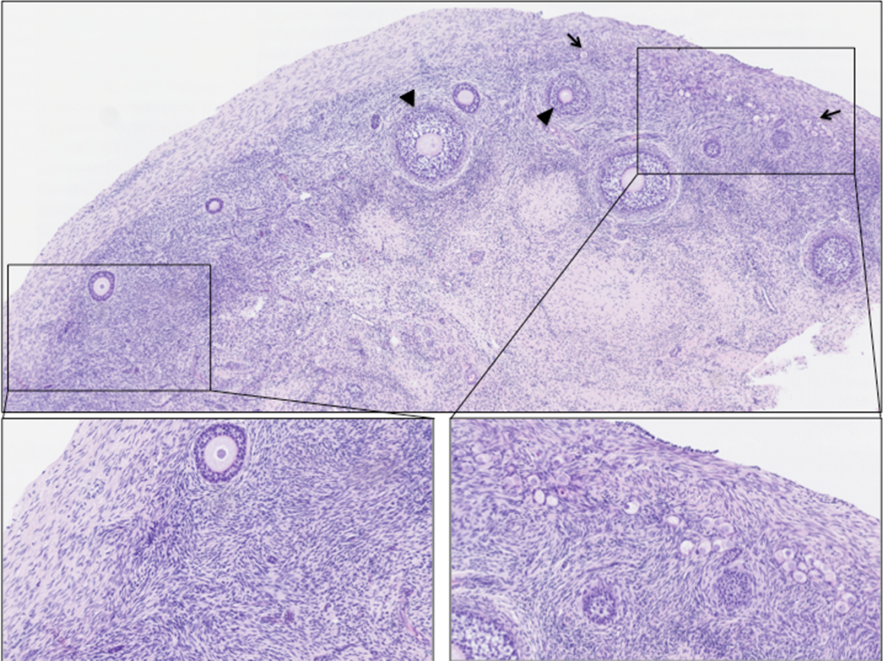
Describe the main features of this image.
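Larger follicles show a round central oocyte ringed by several layers of cuboidal cells and an outer concentric sheath of stroma, while clusters of small follicles, each a pale oocyte with a thin flat cell rim, sit just beneath the surface on the right. The left region holds no such small follicles, only stroma and an occasional larger follicle, so the follicles are unevenly spread through the cortex.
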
